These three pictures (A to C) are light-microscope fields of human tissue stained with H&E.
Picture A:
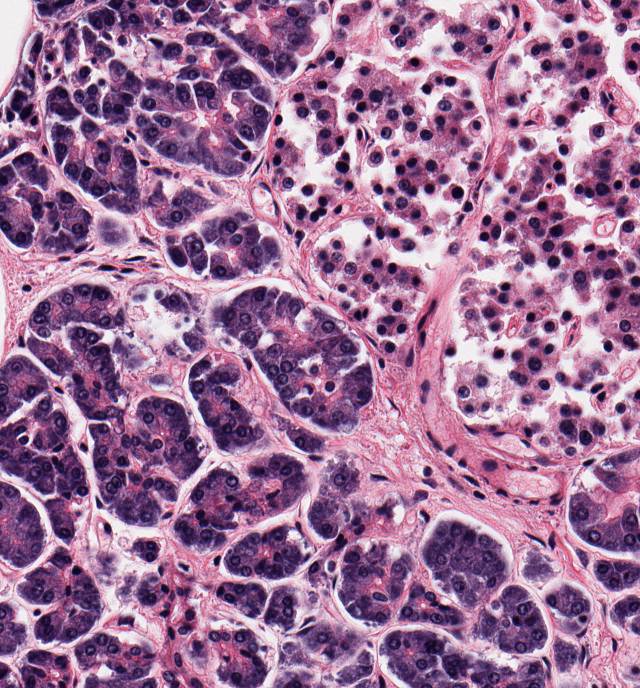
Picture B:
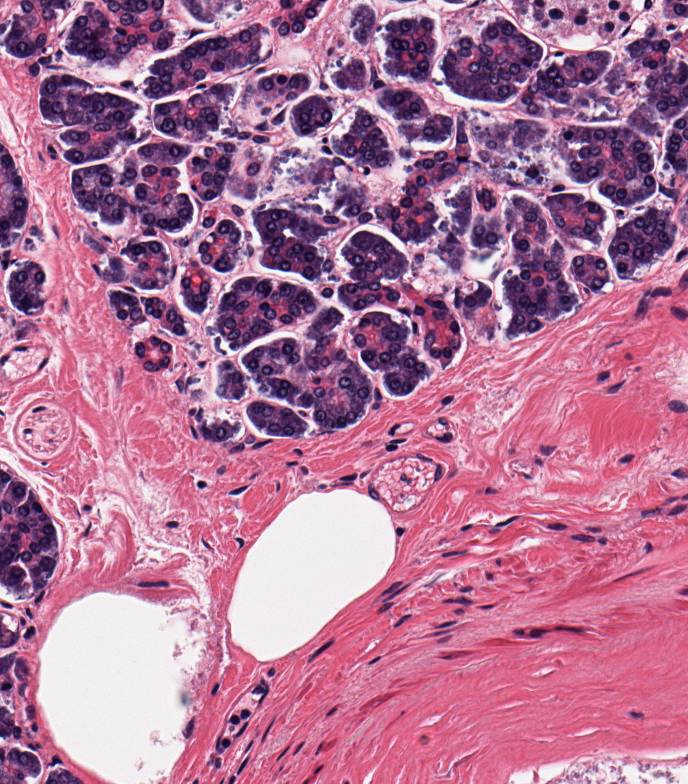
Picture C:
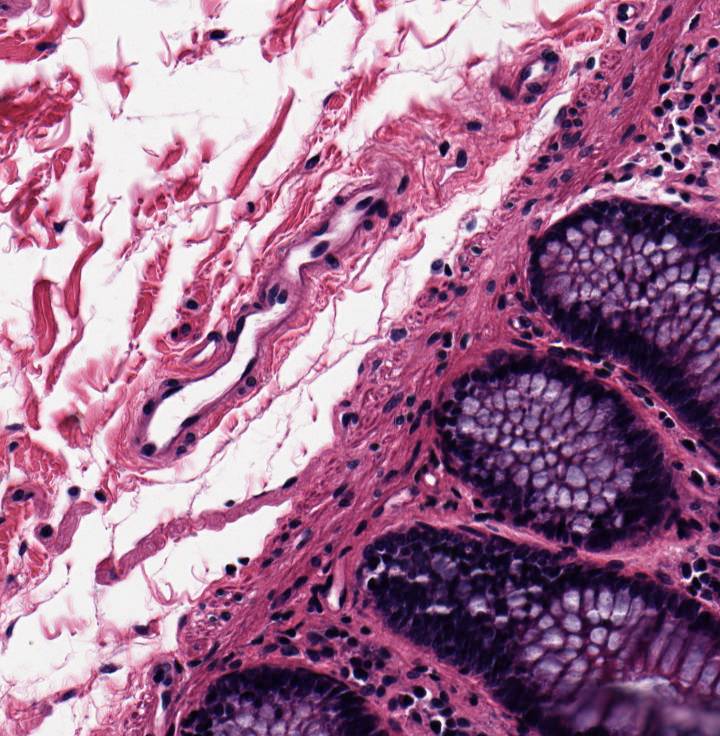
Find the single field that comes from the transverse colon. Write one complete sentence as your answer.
The one that comes from the transverse colon is picture C.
